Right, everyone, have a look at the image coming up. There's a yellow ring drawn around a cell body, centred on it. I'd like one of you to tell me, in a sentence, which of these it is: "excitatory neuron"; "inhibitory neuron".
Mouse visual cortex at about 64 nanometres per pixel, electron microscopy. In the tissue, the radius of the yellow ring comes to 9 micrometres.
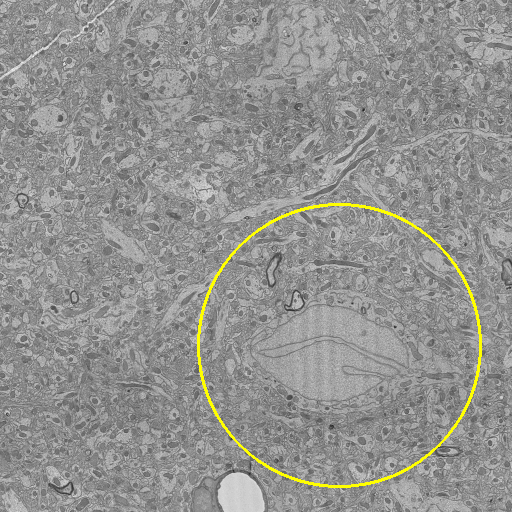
The yellow ring sits on an inhibitory neuron.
